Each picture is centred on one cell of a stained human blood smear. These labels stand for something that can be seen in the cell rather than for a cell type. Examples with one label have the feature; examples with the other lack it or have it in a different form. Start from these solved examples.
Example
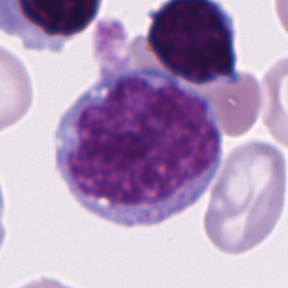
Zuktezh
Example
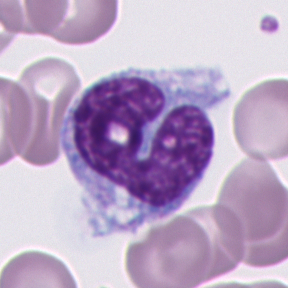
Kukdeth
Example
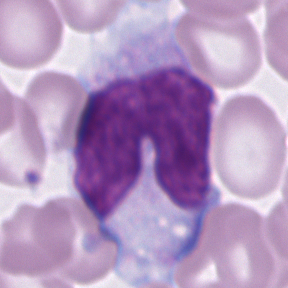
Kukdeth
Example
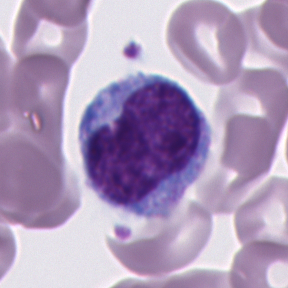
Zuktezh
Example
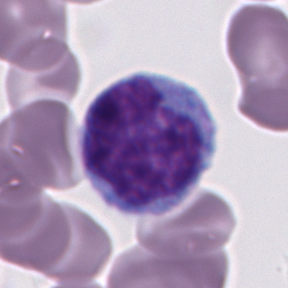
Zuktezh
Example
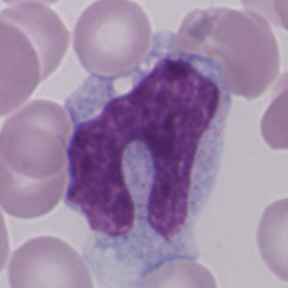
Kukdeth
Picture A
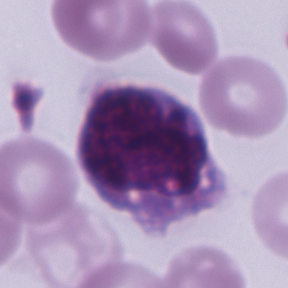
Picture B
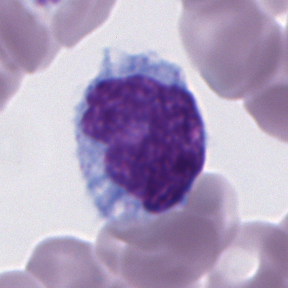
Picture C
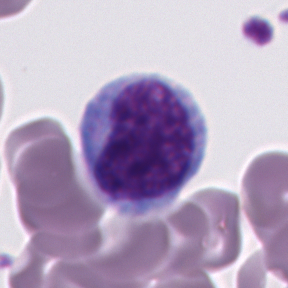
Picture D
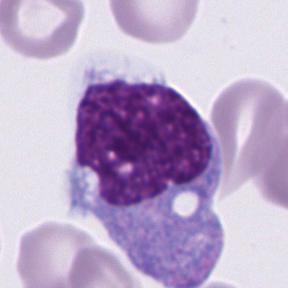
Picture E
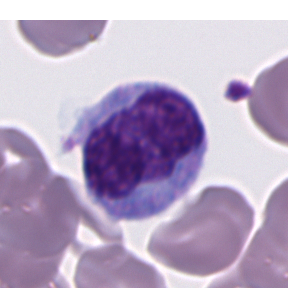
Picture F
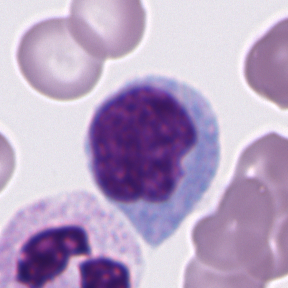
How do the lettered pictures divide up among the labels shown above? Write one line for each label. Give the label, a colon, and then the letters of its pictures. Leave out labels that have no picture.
Zuktezh: A, B, C, D, E, F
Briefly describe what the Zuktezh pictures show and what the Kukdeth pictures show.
Zuktezh, round or oval nucleus; Kukdeth, band-shaped nucleus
